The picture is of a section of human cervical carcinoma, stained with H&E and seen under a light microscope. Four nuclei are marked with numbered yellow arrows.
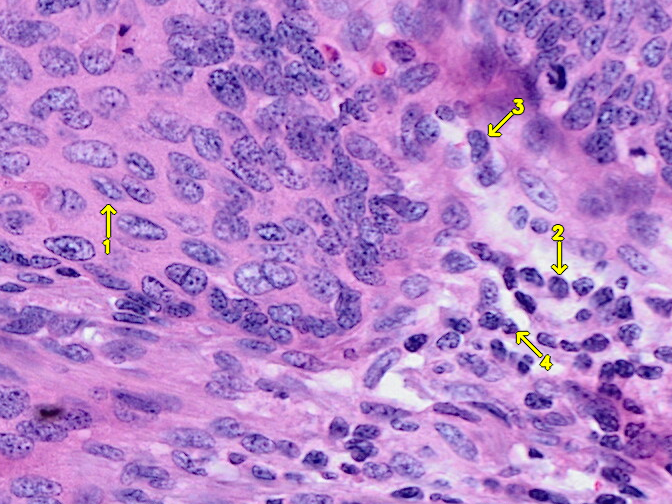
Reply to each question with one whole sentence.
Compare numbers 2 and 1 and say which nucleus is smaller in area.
It is nucleus 2; nucleus 1 has about 1.5 times its area.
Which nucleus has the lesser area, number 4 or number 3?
Nucleus 4 is the smaller one; nucleus 3 covers about 2.5 times its area.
